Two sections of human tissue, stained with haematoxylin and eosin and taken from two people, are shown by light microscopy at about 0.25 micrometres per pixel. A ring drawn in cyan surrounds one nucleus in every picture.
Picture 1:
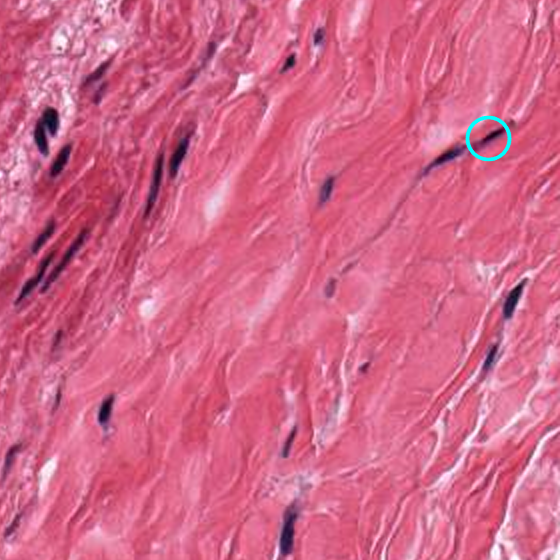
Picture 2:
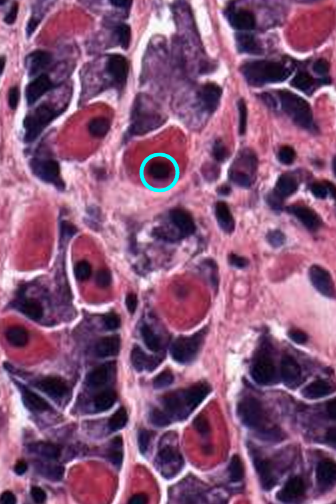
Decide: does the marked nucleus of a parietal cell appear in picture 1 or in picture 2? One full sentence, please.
Where the marked nucleus belongs to a parietal cell is picture 2, not the other picture.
